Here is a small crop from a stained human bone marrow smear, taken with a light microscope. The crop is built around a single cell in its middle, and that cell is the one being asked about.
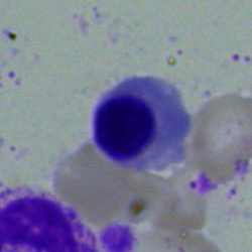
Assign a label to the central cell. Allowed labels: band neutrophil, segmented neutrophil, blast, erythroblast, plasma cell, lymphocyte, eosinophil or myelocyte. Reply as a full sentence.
The target cell in the middle of the crop is an erythroblast.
